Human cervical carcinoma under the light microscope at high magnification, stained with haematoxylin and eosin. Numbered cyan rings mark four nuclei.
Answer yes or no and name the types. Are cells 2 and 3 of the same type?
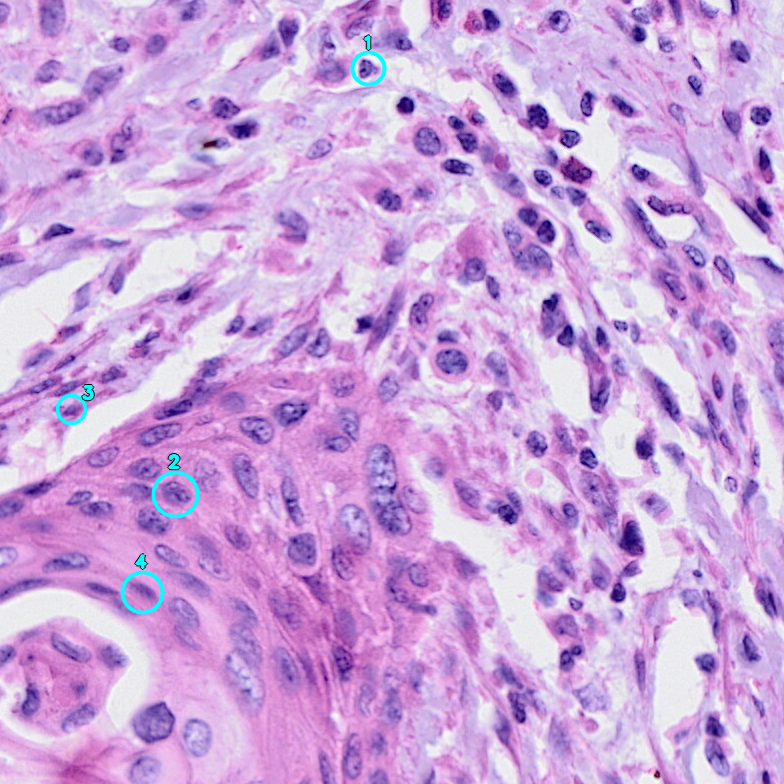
No, cell 2 is a squamous carcinoma cell and cell 3 is a fibroblast.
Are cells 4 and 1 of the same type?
No, cell 4 is a squamous carcinoma cell and cell 1 is a lymphocyte.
